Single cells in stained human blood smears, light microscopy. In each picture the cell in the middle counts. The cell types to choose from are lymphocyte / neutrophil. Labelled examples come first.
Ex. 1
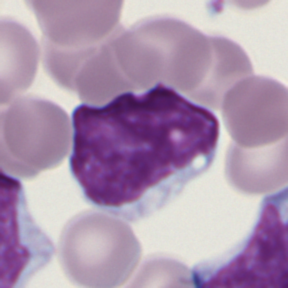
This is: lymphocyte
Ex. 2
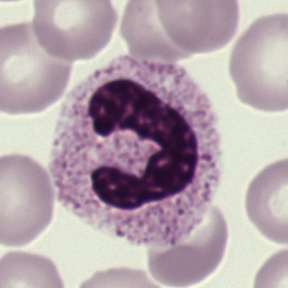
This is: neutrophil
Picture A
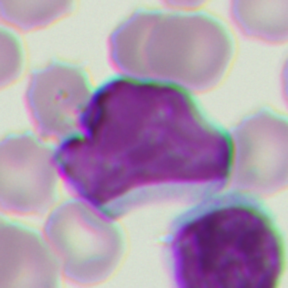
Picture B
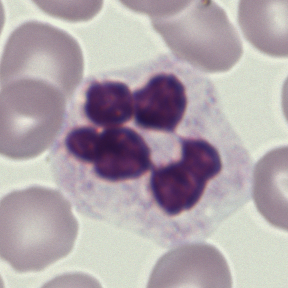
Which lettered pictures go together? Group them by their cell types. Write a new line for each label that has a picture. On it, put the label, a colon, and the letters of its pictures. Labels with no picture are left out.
lymphocyte: A
neutrophil: B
